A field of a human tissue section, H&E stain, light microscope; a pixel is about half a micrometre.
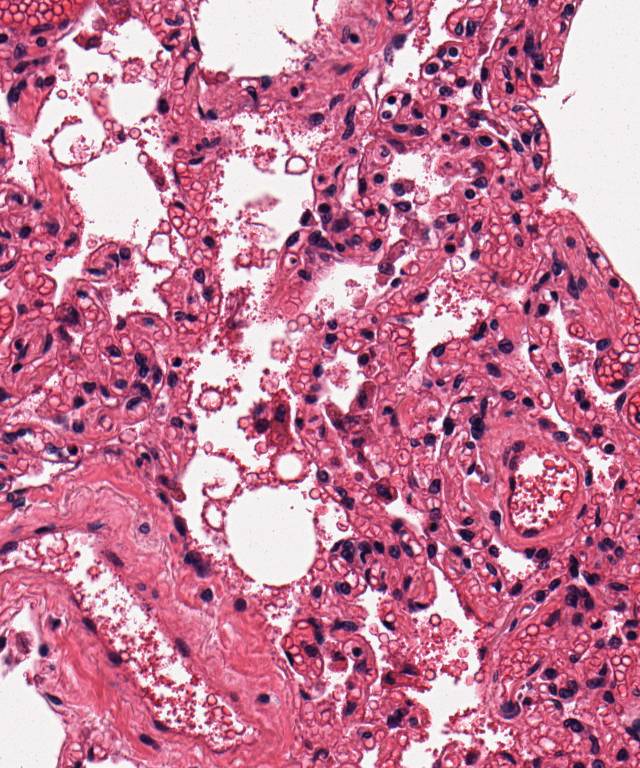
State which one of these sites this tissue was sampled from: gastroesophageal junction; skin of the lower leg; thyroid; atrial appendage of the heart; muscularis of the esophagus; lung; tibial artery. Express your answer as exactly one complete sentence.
The sample on this slide was obtained from the lung.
